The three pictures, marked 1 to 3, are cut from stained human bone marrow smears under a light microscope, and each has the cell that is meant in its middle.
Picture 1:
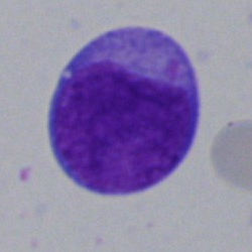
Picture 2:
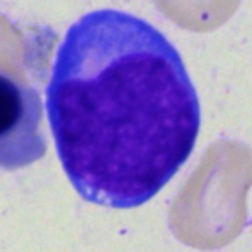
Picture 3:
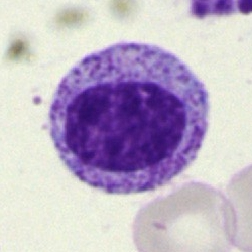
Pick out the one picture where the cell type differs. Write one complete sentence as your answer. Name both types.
All pictures except 3 show blasts; picture 3 shows a myelocyte.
